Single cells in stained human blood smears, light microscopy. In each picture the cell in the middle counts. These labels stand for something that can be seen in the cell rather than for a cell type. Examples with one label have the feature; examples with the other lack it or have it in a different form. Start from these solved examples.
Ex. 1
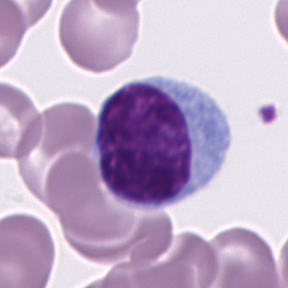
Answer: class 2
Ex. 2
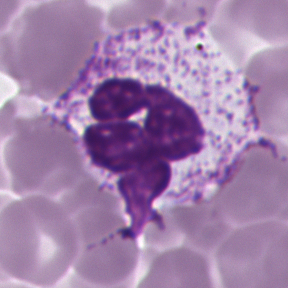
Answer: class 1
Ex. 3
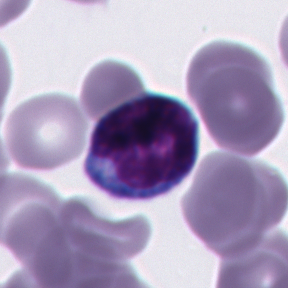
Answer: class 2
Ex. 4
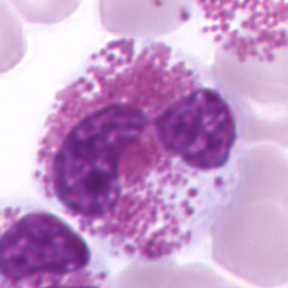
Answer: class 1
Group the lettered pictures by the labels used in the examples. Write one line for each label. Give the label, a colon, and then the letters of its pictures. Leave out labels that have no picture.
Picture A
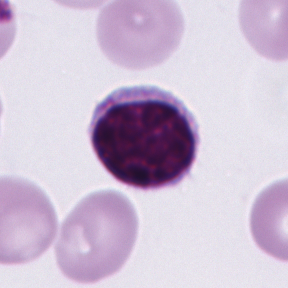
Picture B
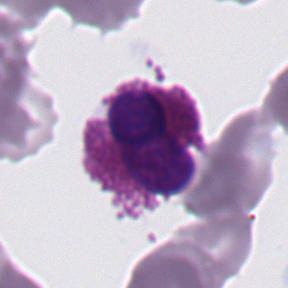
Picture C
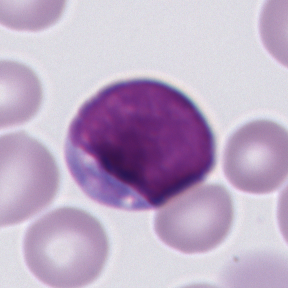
class 2: A, C
class 1: B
